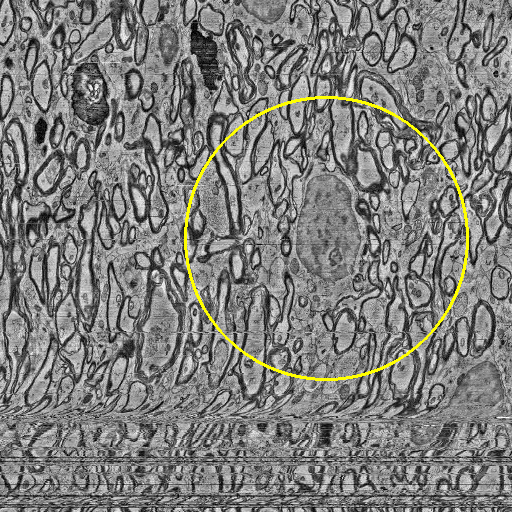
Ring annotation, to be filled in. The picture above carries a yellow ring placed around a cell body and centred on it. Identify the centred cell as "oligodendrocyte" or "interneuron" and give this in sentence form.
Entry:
The cell in the middle of the ring is an oligodendrocyte.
